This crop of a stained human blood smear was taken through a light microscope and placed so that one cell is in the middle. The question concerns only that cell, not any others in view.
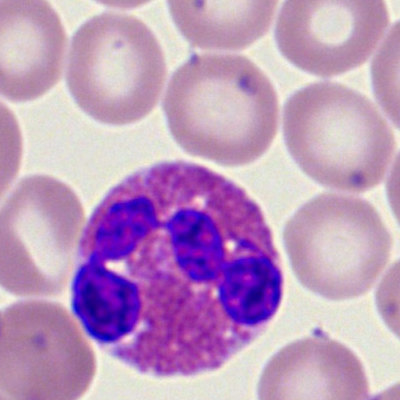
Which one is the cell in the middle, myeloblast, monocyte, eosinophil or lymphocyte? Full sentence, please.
For this crop, the cell in the middle is an eosinophil.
